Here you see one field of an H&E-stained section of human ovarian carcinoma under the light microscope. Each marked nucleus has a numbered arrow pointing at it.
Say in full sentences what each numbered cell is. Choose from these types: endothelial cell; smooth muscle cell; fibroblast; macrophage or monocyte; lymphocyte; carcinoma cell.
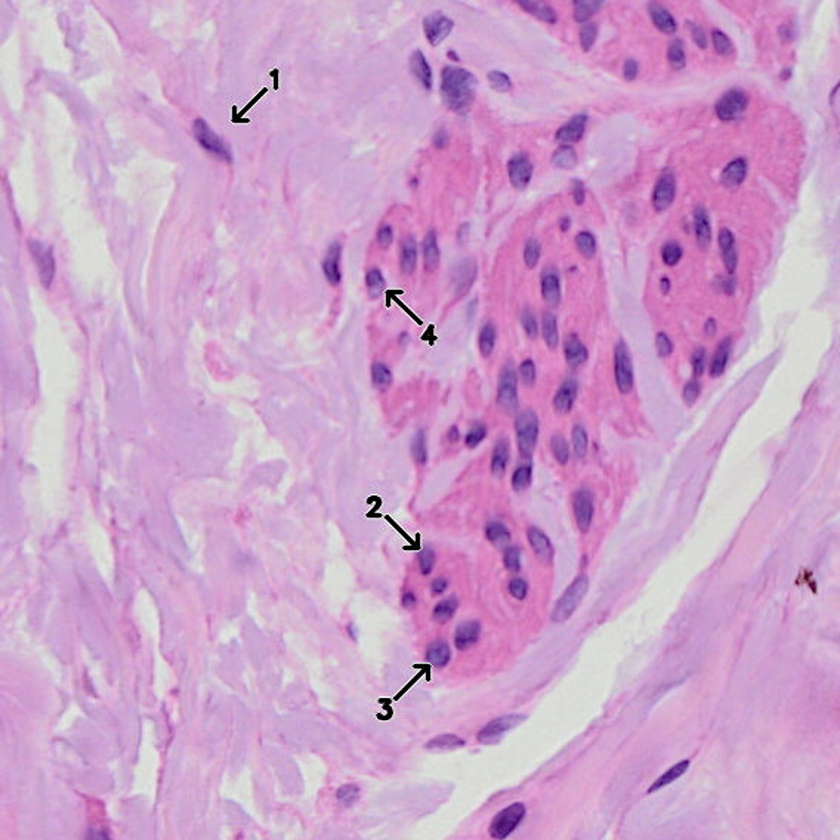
Cell 1 is a fibroblast, cell 2 is a smooth muscle cell, cell 3 is a smooth muscle cell and cell 4 is a smooth muscle cell.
